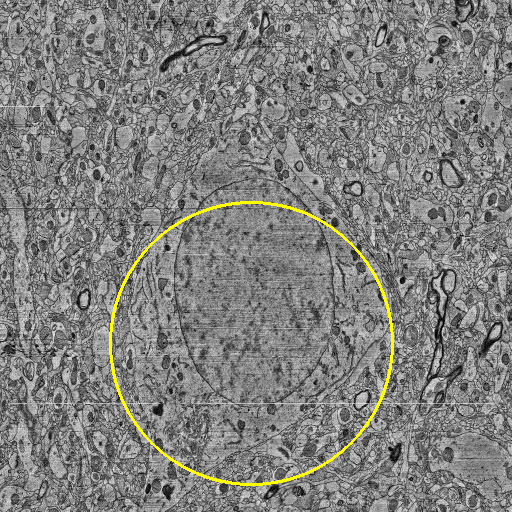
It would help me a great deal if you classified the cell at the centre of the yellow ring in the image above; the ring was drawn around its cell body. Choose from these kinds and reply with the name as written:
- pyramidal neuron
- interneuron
pyramidal neuron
